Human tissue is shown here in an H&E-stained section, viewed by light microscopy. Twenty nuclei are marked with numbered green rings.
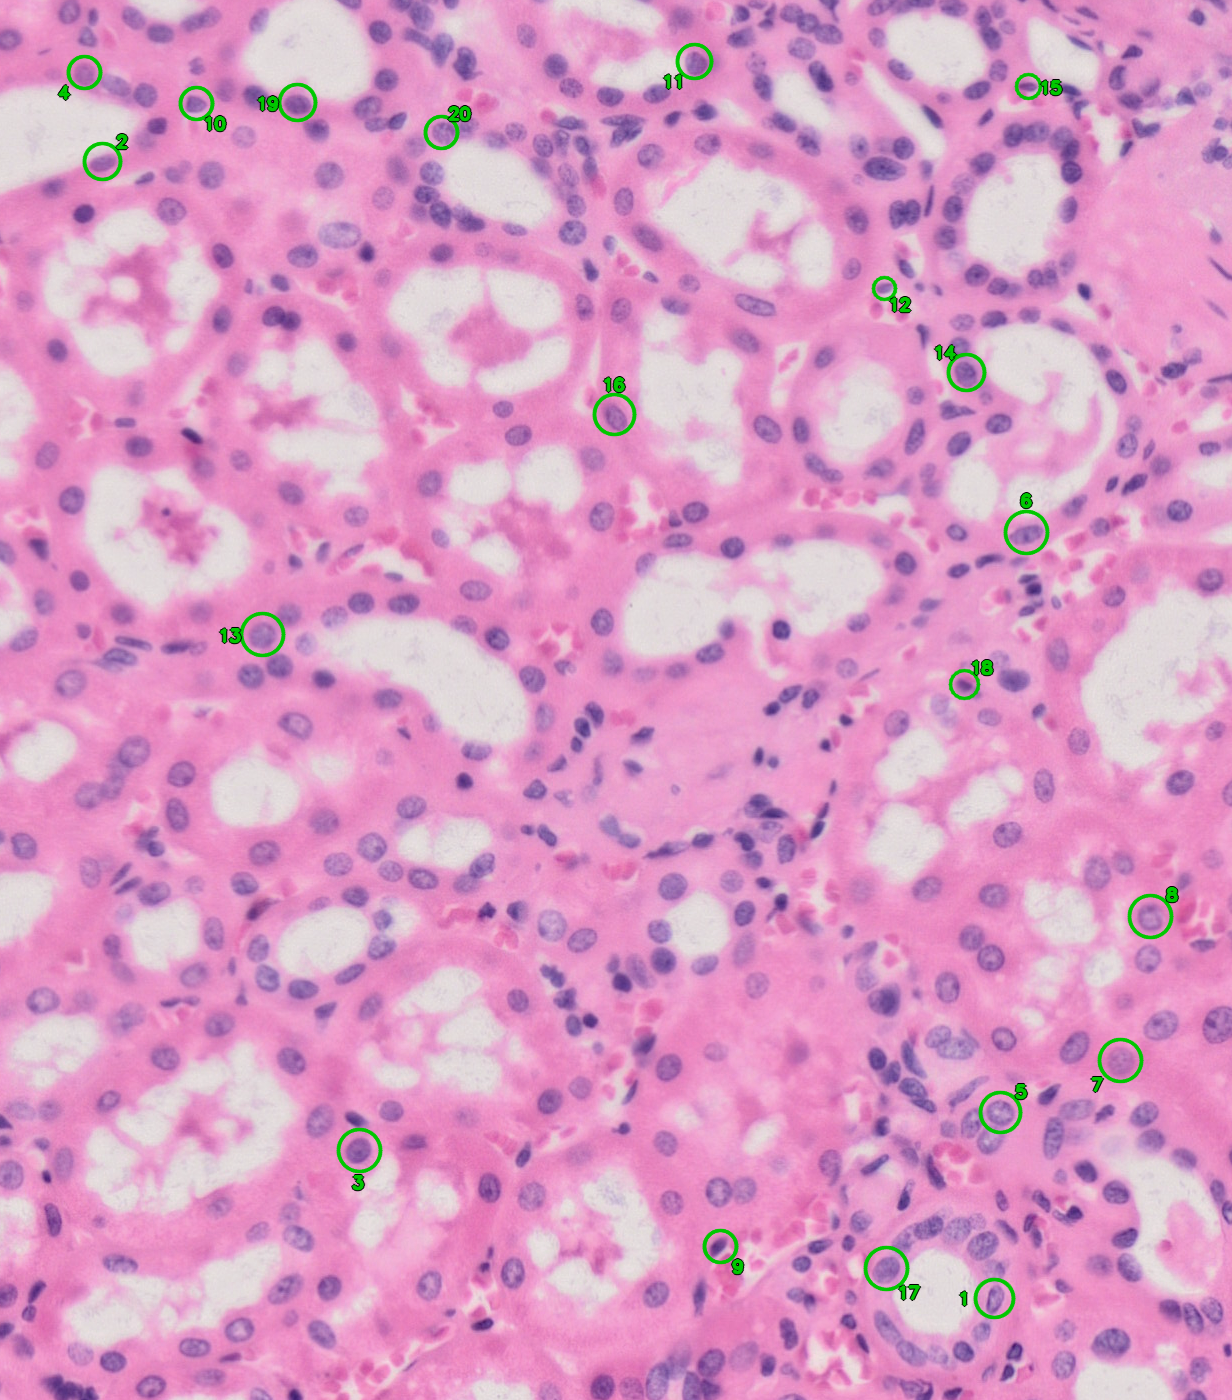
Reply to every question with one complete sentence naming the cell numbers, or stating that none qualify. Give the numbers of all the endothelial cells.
The cells marked by the numbers 9, 10, 12, 15 and 18 are endothelial cells.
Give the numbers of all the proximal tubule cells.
The cells given the numbers 3, 7, 8 and 16 are proximal tubule cells.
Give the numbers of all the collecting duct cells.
Identified as collecting duct cells are the cells numbered 1, 5, 6, 14, 17 and 20.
